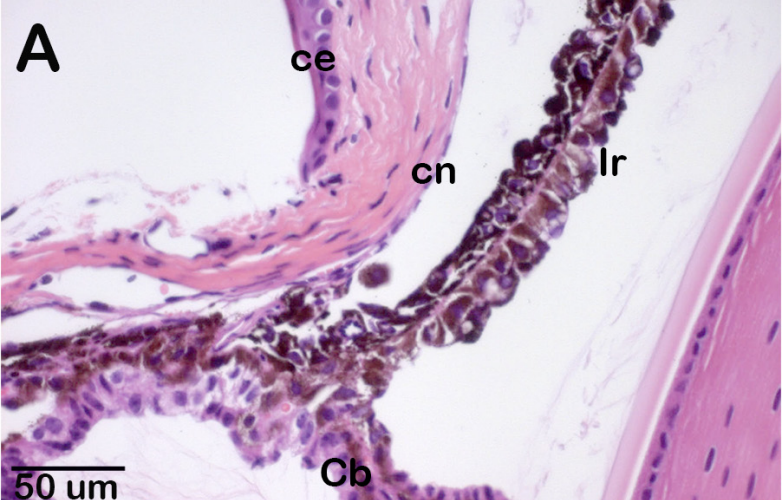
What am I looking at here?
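This section shows the angle region of the eye, where the cornea meets the iris and ciliary body. The corneal tissue is a thick band of pale pink, wavy collagen lamellae with scattered thin, elongated dark nuclei, and a lining layer of cuboidal cells with round purple nuclei runs along one surface at the top. At the bottom the ciliary body forms folds of pigmented cells alongside paler epithelial cells with round purple nuclei. A broad homogeneous pink band with elongated nuclei lies at the right edge.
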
